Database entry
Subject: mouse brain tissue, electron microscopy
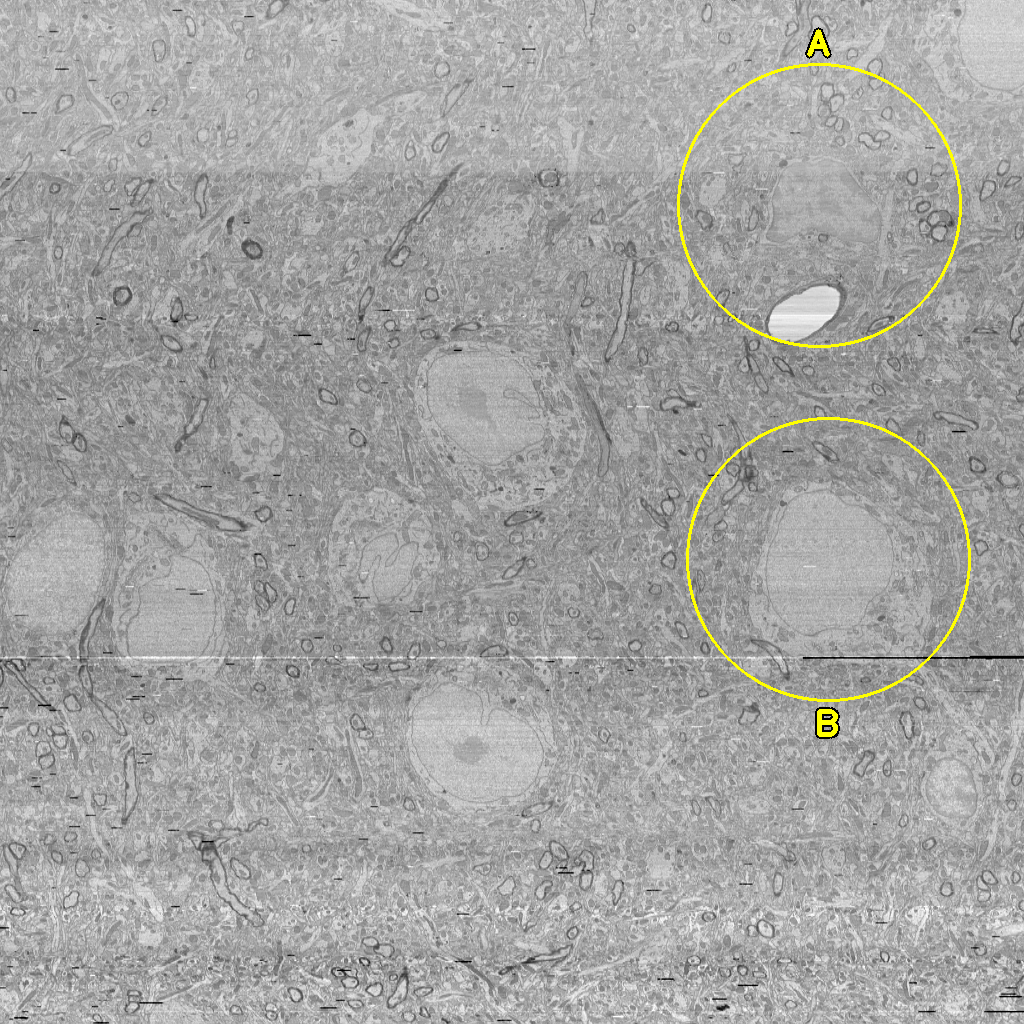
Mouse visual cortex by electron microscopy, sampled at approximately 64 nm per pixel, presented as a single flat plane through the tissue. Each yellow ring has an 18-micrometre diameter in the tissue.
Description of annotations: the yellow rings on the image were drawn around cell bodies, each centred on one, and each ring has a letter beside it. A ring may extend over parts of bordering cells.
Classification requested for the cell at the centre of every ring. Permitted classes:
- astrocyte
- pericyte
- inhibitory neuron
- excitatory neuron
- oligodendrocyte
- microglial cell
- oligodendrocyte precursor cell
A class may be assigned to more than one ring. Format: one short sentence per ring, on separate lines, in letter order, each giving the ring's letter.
The cell body at the centre of ring A is a microglial cell.
The cell body at the centre of ring B is an excitatory neuron.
